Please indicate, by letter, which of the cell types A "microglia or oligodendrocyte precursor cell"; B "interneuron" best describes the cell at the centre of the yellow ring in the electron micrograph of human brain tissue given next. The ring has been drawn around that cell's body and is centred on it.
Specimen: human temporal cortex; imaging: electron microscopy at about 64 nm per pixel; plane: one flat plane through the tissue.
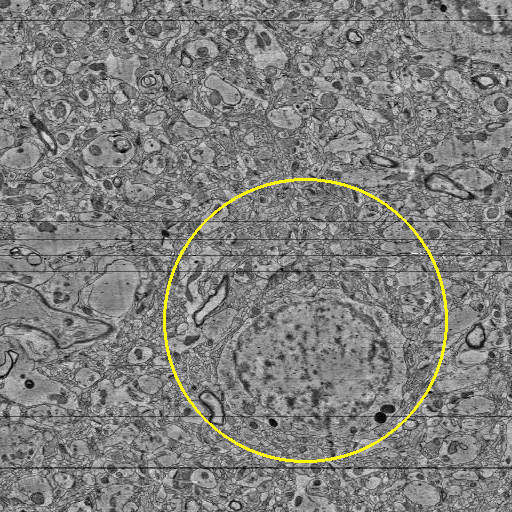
B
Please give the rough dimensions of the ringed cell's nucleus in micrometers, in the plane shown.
Approximately 10 by 8 micrometers in this plane.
